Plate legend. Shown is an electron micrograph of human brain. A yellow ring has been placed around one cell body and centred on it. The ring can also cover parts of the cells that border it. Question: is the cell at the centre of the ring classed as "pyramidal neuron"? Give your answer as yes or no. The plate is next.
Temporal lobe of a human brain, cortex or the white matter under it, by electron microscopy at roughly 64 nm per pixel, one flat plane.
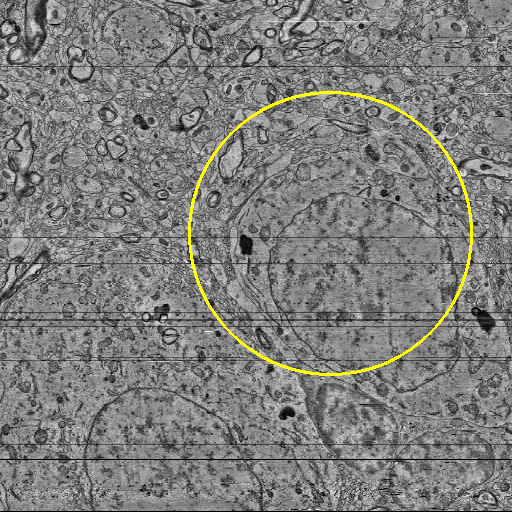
Yes, the ringed cell is of that kind.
